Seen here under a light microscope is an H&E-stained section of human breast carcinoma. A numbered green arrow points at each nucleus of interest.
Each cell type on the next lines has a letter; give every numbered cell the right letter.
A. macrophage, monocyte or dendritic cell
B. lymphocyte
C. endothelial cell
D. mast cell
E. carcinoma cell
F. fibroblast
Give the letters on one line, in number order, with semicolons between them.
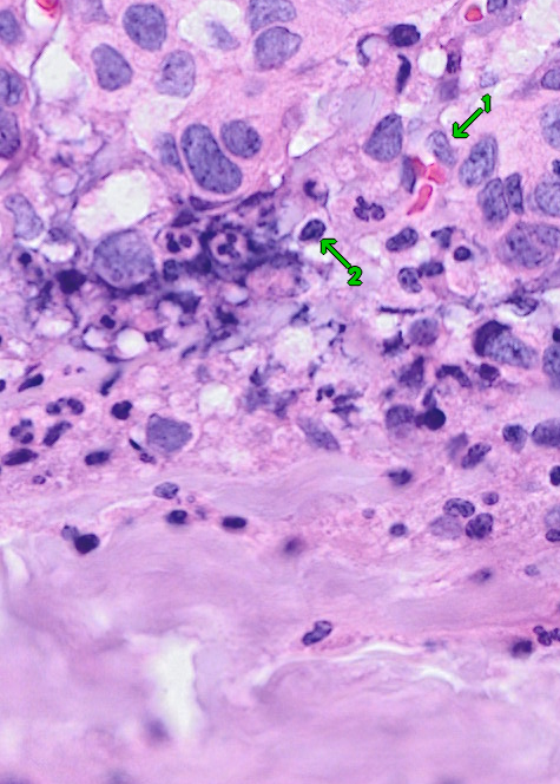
C; B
